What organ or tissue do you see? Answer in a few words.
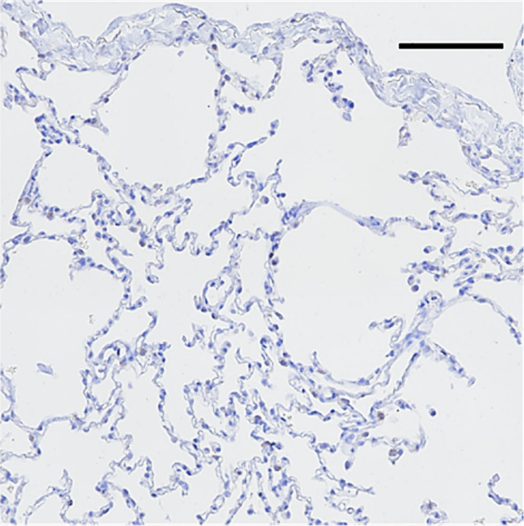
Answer: Healthy lung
